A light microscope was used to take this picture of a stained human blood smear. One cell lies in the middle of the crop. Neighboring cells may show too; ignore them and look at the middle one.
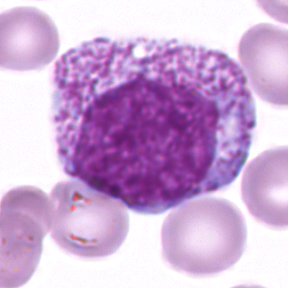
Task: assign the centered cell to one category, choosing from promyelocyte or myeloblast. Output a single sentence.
Classification of the middle cell gives a promyelocyte.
